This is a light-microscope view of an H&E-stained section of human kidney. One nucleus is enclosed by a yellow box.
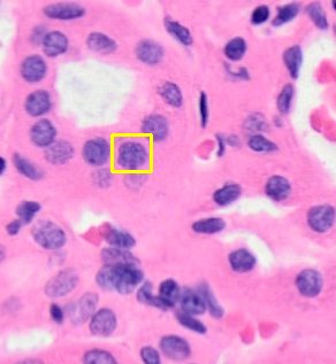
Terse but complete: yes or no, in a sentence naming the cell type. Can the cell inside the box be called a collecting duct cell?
Yes, as far as cell type goes, the cell inside the box is a collecting duct cell.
